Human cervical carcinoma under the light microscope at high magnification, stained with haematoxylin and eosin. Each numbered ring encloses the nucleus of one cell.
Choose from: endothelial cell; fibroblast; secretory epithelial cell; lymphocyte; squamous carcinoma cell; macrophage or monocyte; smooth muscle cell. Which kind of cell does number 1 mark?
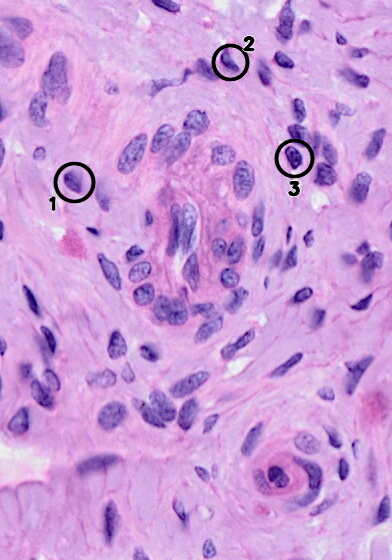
fibroblast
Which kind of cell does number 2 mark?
fibroblast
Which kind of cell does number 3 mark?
lymphocyte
